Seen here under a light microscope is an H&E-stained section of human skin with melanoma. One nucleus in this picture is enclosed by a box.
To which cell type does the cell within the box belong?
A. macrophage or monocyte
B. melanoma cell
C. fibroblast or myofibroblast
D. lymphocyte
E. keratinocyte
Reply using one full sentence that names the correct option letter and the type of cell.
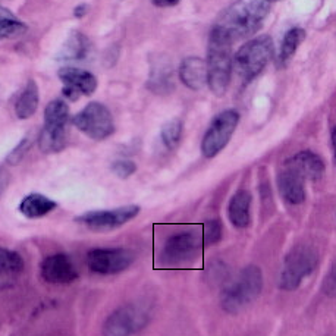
The correct identification, the cell within the box as a keratinocyte, is given by option E.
